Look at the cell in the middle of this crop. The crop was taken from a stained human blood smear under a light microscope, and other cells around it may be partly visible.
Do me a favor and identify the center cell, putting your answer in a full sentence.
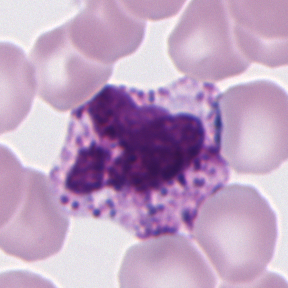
By type, the central cell of the crop is a basophil.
